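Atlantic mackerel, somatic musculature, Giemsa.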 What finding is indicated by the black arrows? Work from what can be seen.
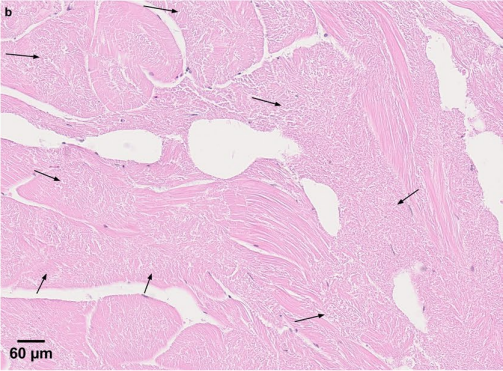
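Degraded areas. The arrows point at patches where the muscle has a loose, frayed, disorganized texture. Neighbouring muscle bundles are smooth and compact with parallel fibres. The arrowed patches hold few or no dark purple bodies.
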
